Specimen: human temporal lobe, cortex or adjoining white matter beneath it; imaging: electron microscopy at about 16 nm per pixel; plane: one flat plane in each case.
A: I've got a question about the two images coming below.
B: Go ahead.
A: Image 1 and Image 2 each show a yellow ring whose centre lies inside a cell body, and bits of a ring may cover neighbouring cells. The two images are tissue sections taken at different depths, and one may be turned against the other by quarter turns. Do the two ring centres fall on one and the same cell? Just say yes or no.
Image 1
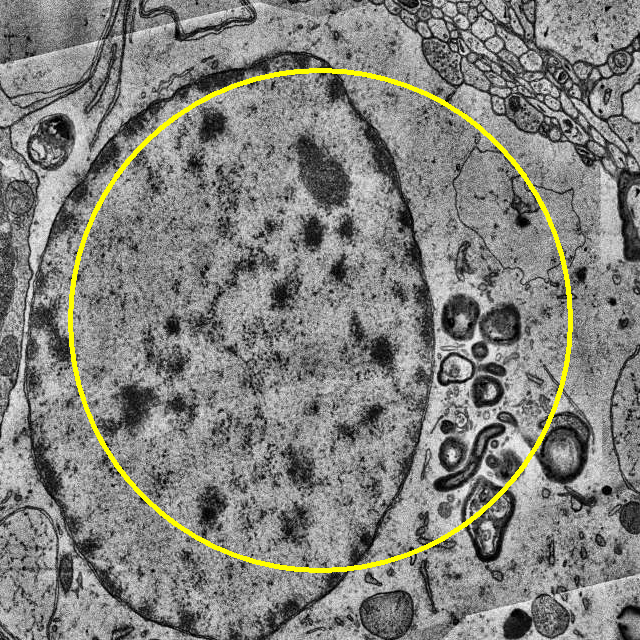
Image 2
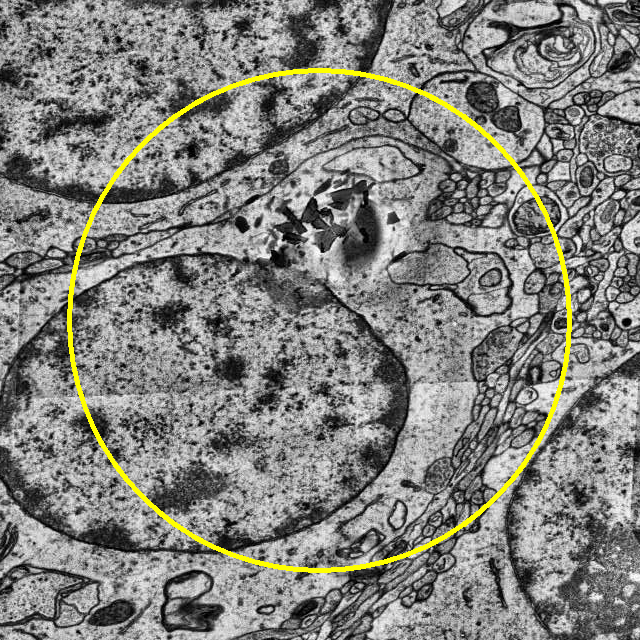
no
